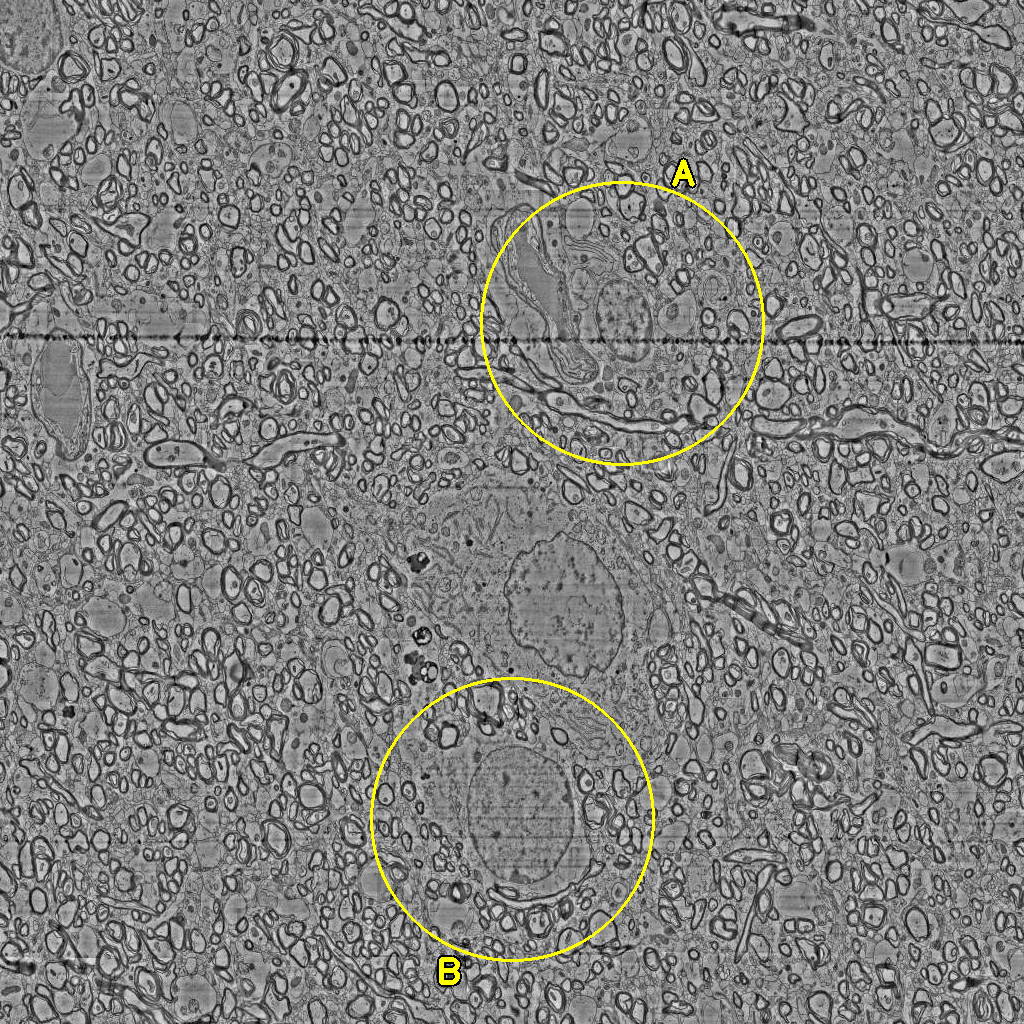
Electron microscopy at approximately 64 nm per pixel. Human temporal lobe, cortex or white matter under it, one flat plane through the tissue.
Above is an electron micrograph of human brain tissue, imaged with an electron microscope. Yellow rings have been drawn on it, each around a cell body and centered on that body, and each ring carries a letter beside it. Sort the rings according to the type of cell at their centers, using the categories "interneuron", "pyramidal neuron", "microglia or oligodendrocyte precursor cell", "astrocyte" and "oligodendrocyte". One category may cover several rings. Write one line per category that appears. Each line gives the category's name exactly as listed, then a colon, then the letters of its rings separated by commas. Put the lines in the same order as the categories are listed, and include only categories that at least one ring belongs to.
microglia or oligodendrocyte precursor cell: A
astrocyte: B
